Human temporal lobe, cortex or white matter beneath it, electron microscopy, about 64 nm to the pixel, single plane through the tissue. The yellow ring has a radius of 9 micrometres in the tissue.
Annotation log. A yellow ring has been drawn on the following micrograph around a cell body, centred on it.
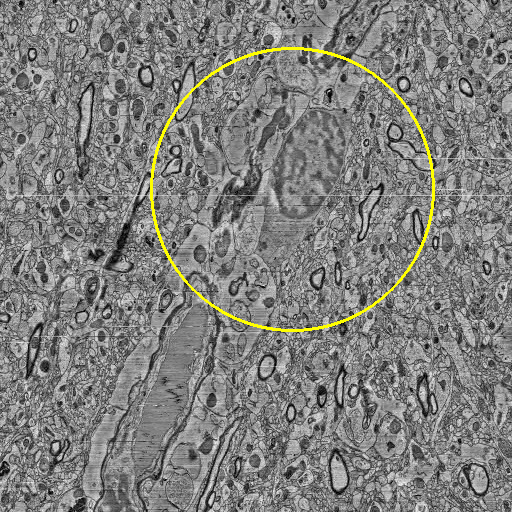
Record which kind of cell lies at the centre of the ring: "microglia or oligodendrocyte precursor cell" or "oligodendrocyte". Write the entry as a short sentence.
The cell the ring is centred on is an oligodendrocyte.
